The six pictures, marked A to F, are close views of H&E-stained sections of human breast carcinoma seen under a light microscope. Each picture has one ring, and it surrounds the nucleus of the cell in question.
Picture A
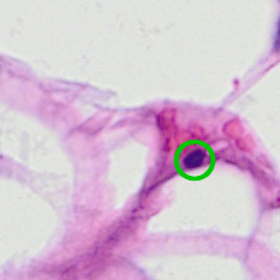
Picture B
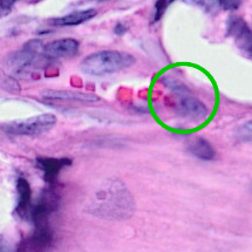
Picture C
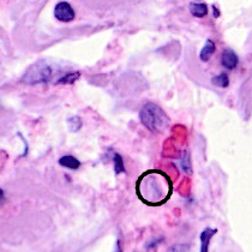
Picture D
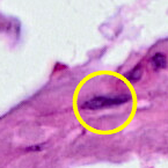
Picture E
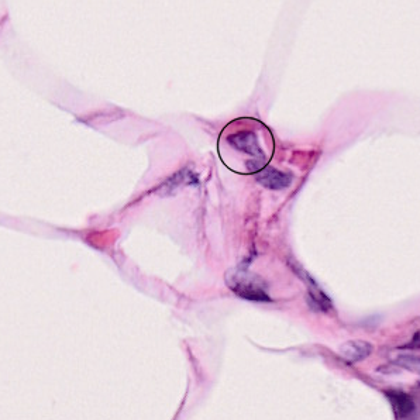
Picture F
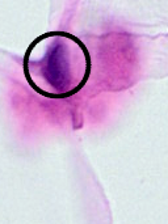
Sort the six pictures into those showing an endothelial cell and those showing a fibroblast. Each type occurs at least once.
A: endothelial cell
B: endothelial cell
C: endothelial cell
D: fibroblast
E: endothelial cell
F: fibroblast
